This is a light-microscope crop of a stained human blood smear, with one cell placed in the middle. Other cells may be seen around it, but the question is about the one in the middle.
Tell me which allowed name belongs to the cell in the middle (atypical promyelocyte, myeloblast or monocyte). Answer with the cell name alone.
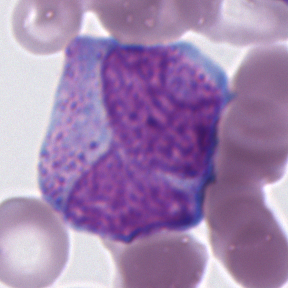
atypical promyelocyte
